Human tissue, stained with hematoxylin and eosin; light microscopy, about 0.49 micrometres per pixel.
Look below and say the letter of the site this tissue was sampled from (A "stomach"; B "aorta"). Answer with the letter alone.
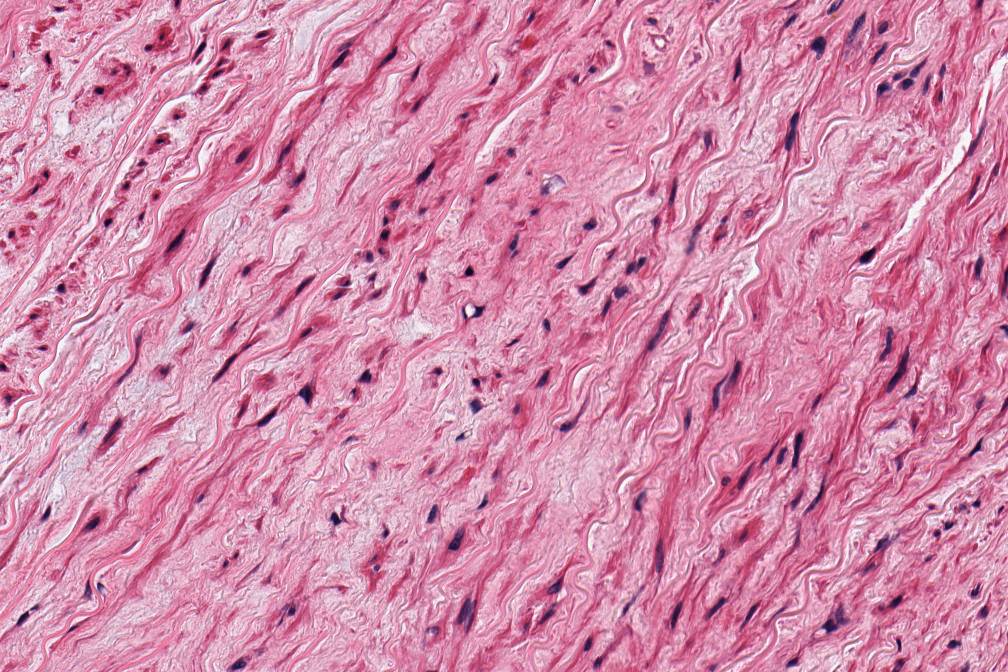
B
